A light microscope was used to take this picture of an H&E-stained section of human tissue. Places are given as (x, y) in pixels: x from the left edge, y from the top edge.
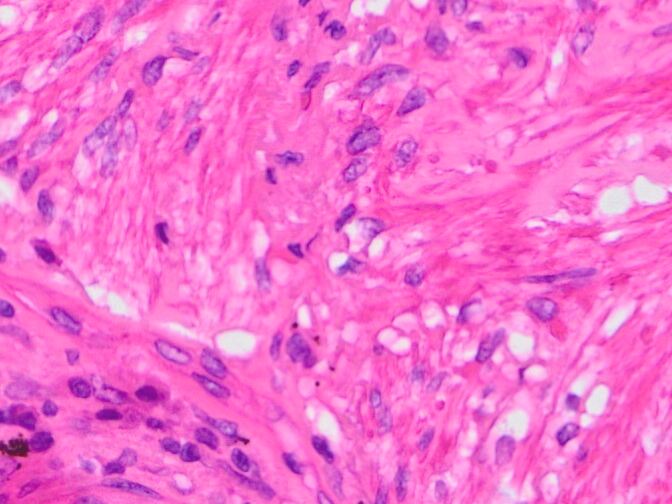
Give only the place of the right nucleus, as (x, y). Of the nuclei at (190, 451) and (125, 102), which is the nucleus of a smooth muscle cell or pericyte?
(125, 102)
